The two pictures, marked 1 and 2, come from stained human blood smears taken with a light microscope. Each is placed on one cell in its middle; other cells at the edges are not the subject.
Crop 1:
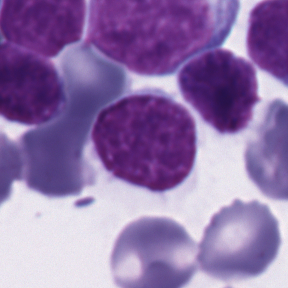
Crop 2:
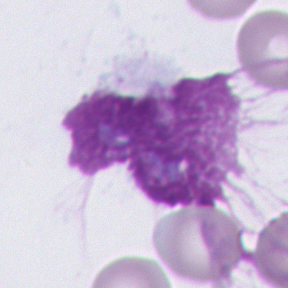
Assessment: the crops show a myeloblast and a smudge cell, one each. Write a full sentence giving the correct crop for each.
Crop 1 is occupied by a myeloblast, and crop 2 is occupied by a smudge cell.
